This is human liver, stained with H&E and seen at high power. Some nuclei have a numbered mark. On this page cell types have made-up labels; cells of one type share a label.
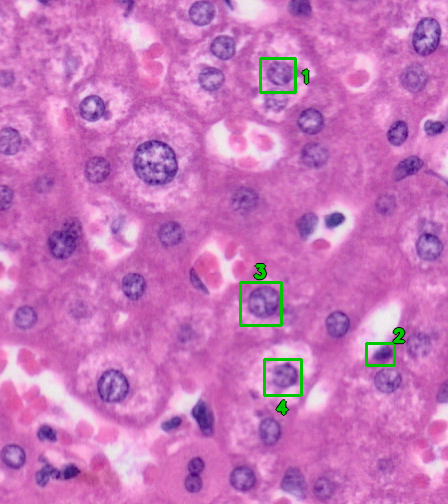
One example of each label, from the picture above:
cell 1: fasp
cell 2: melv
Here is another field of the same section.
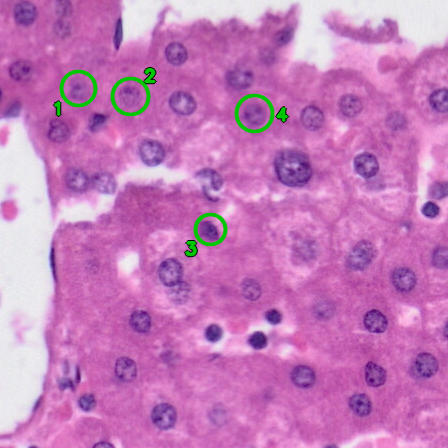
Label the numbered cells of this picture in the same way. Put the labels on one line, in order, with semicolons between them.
fasp; fasp; melv; fasp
